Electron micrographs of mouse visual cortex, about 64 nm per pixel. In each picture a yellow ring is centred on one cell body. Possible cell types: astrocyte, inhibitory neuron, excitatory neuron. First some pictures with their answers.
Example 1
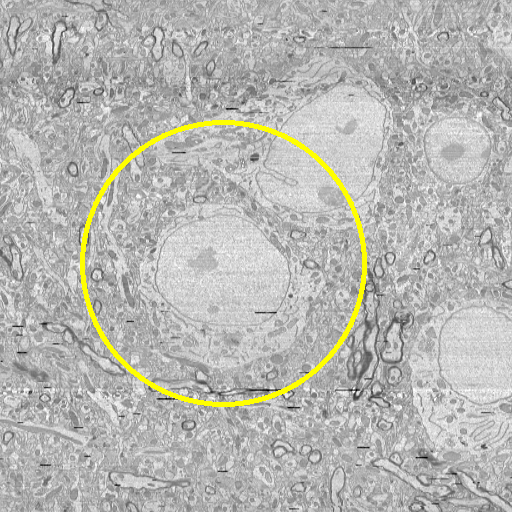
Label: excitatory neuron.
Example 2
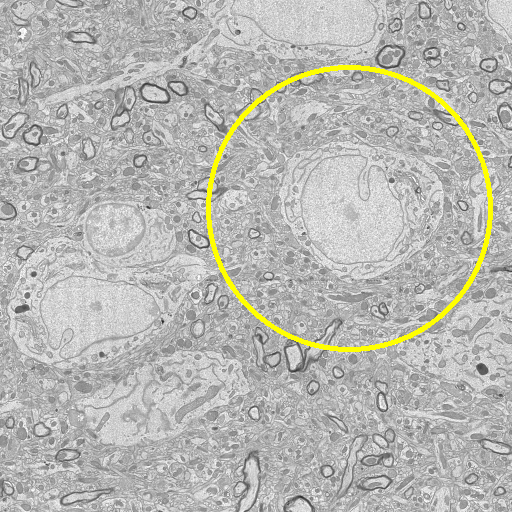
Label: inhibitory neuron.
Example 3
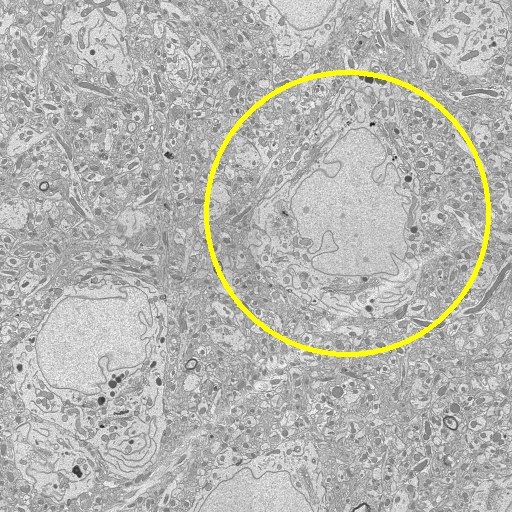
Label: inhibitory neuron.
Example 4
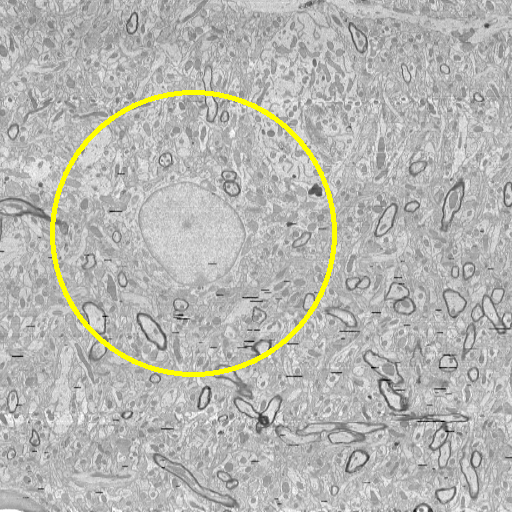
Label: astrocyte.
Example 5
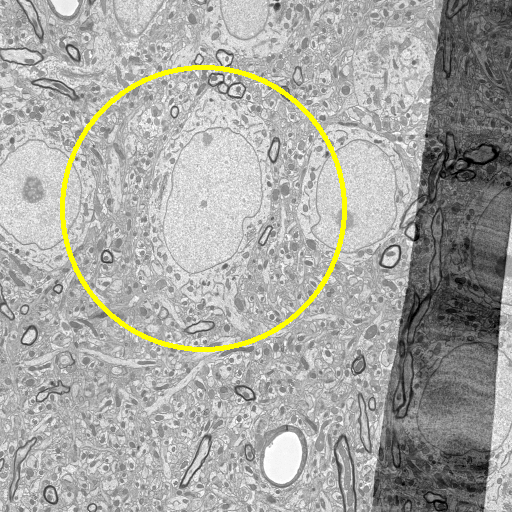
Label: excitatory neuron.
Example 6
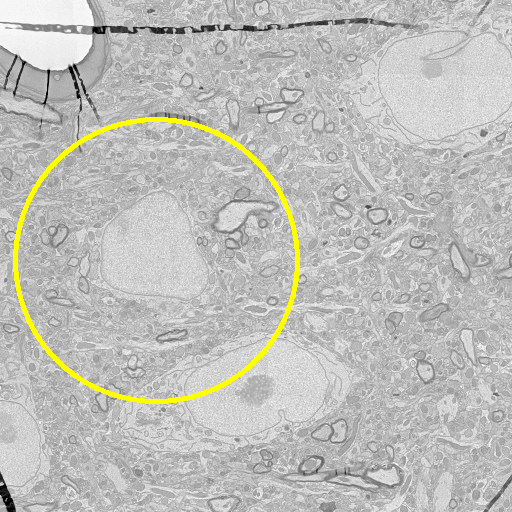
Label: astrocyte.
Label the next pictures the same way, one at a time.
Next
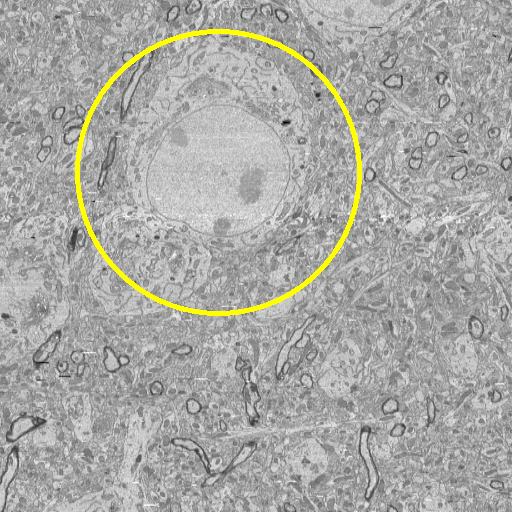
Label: excitatory neuron.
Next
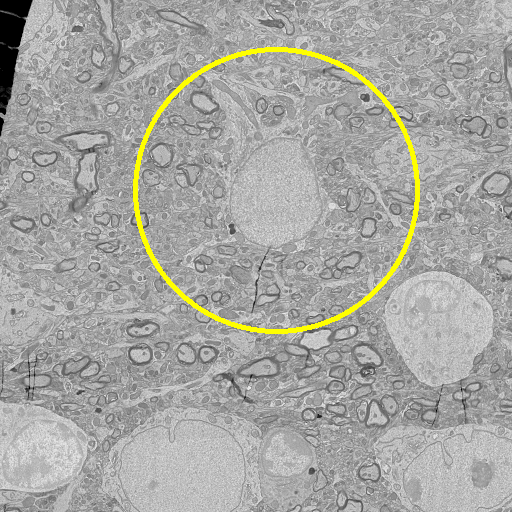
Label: astrocyte.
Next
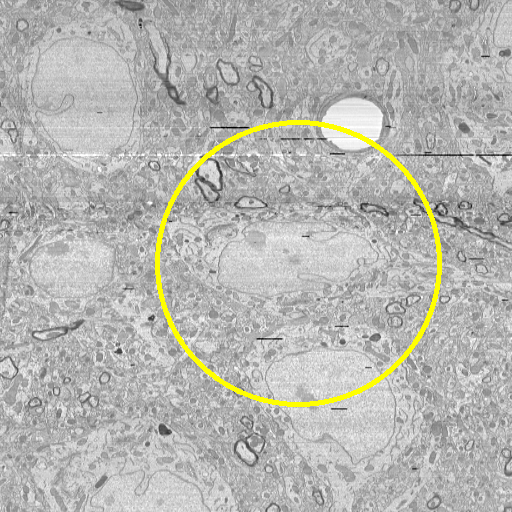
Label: inhibitory neuron.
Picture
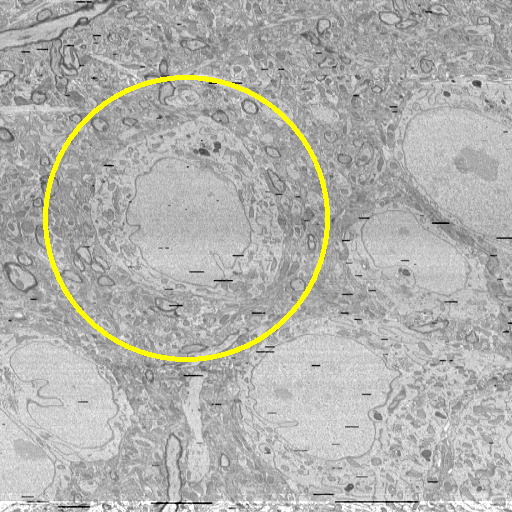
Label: inhibitory neuron.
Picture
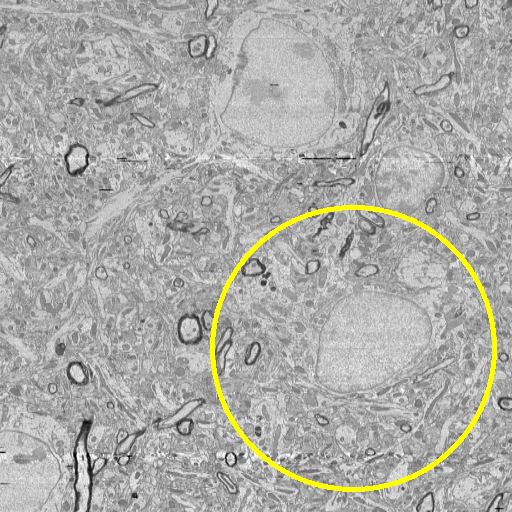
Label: astrocyte.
